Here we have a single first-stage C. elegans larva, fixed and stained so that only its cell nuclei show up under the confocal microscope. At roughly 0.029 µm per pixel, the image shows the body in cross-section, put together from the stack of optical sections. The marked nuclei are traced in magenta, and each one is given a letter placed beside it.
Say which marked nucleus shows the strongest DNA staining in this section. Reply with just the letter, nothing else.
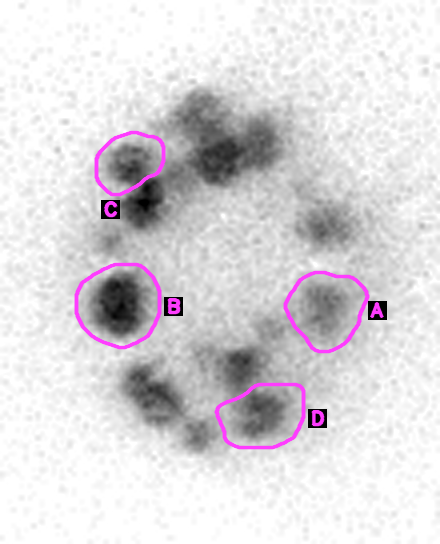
B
